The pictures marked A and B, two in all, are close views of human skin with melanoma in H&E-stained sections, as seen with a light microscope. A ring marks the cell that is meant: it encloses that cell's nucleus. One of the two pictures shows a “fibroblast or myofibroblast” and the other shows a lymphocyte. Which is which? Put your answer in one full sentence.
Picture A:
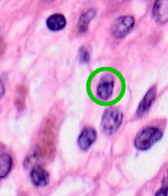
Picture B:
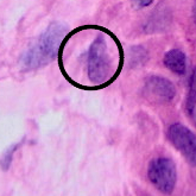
In picture A the cell is a lymphocyte; in picture B, a “fibroblast or myofibroblast”.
